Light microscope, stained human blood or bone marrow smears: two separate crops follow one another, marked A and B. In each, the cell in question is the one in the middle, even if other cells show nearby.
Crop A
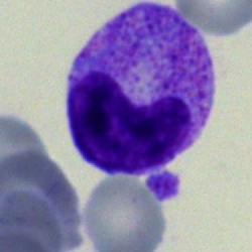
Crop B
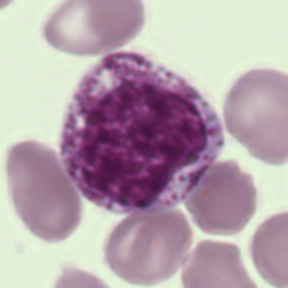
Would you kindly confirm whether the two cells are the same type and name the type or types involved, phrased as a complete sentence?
Yes, both crops here show metamyelocytes, the pair of them.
